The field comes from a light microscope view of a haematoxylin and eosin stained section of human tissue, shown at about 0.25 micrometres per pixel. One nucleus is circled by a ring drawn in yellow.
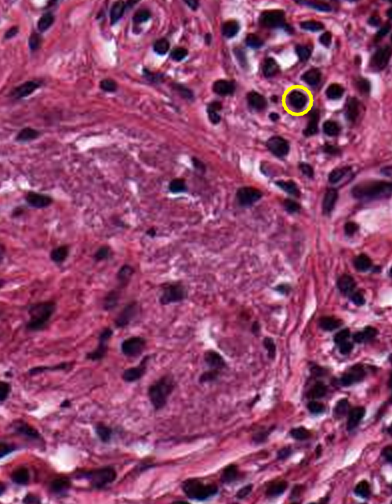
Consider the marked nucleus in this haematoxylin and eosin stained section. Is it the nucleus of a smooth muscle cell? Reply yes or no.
no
